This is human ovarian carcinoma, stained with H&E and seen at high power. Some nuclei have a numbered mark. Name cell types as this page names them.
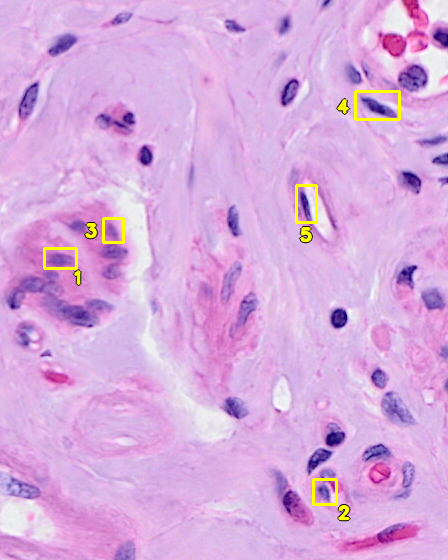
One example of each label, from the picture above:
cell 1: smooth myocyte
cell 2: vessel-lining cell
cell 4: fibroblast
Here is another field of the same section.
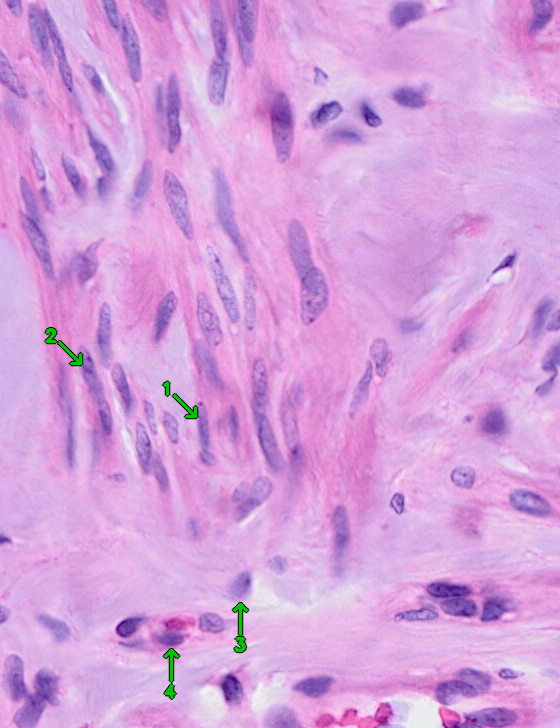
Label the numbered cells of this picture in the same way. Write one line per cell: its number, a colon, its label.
1: smooth myocyte
2: smooth myocyte
3: fibroblast
4: vessel-lining cell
